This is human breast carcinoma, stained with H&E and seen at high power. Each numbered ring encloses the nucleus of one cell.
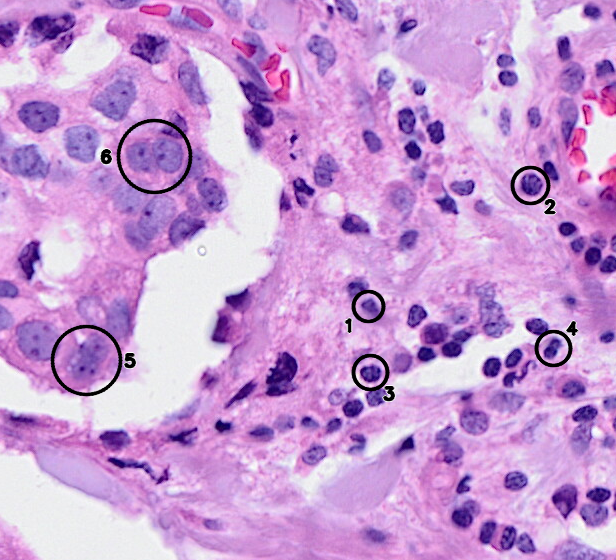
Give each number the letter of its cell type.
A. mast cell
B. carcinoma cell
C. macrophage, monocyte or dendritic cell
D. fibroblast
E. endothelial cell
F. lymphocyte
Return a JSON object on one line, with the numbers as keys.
{"1": "F", "2": "F", "3": "F", "4": "F", "5": "B", "6": "B"}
